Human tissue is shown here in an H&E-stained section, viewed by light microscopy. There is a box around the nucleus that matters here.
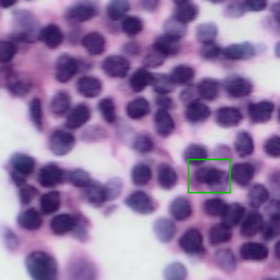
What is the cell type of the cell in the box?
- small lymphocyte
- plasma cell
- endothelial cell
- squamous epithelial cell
small lymphocyte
